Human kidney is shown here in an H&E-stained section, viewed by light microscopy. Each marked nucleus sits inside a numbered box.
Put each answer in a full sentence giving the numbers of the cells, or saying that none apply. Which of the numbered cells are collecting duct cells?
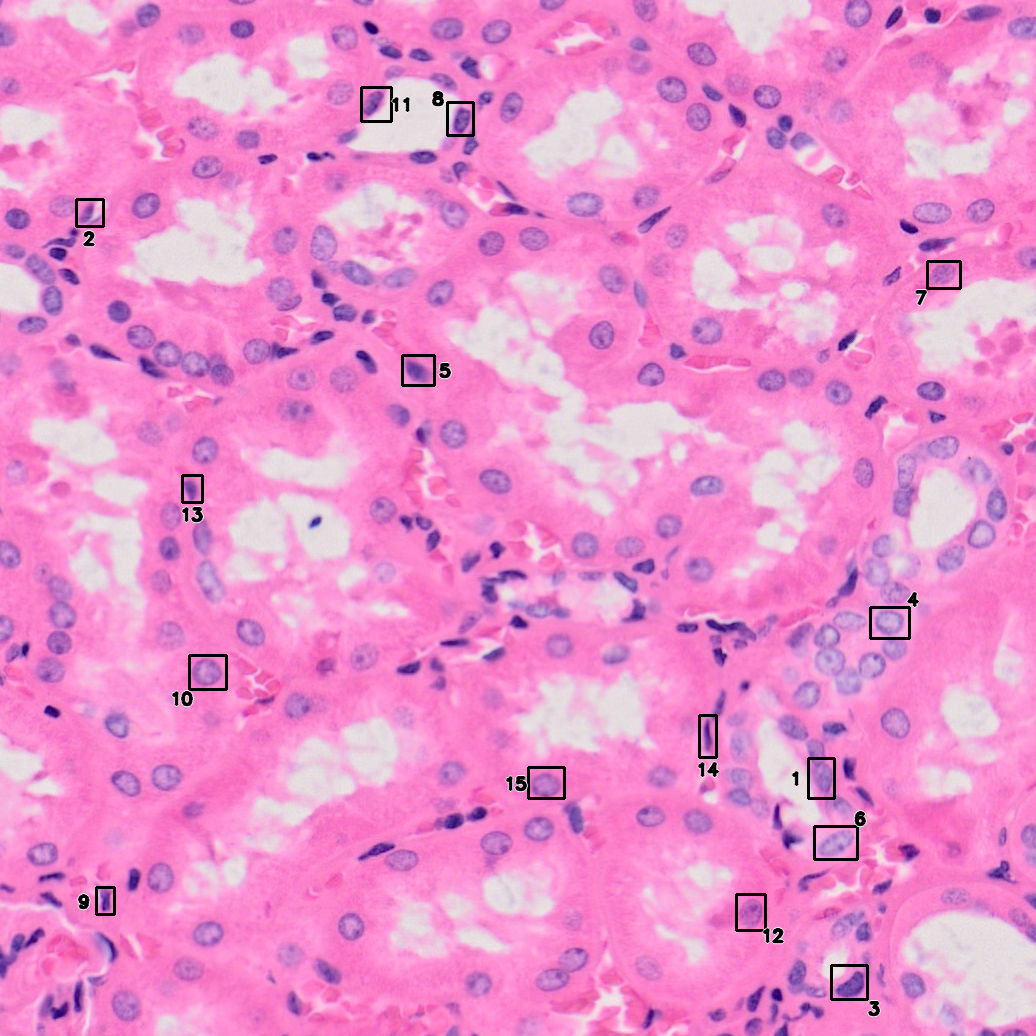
Cells 1, 3, 4 and 6 are recognised here as collecting duct cells.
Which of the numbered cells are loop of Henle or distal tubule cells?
The cells identified by the numbers 8 and 11 are loop of Henle or distal tubule cells.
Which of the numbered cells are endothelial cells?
The cells numbered 2, 5, 9, 13 and 14 are identified as endothelial cells.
